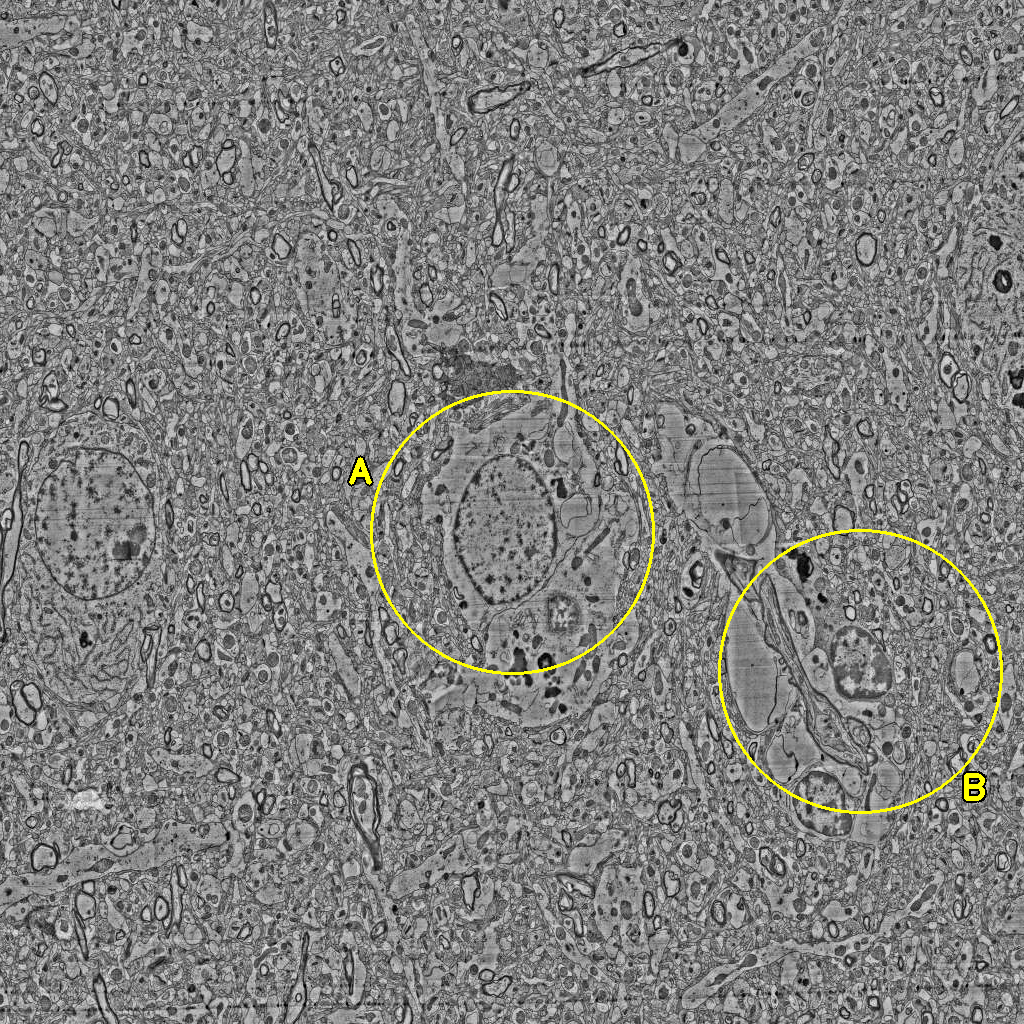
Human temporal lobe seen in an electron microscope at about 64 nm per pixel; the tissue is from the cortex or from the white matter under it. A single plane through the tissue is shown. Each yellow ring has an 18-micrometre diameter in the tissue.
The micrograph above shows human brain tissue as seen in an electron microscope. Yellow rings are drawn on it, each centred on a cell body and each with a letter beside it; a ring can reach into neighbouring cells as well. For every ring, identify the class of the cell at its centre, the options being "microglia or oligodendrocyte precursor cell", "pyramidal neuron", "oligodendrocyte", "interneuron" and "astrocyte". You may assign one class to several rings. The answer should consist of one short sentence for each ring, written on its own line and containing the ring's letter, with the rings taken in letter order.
The ring lettered A is centred on an astrocyte.
The ring lettered B is centred on an oligodendrocyte.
